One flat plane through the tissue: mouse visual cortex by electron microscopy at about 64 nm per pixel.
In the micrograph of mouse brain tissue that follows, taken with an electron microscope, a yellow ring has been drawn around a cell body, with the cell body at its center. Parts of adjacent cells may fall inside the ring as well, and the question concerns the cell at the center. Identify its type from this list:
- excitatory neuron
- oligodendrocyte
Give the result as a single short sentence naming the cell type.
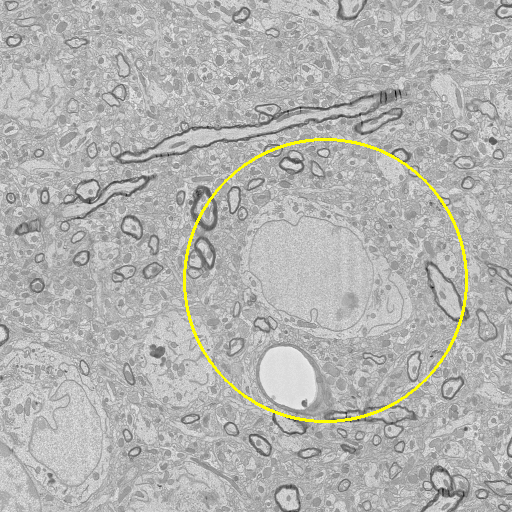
The ring is centered on an excitatory neuron.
